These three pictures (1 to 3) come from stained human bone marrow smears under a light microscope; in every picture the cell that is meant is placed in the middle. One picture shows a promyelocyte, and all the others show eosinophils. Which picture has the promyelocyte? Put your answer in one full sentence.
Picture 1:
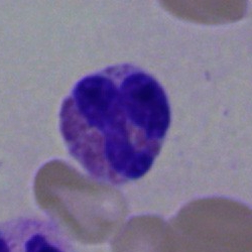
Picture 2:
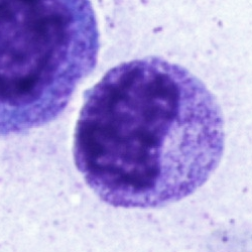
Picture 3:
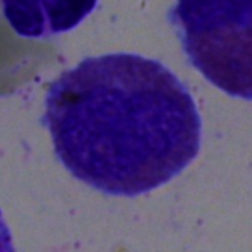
It is picture 2 that shows the promyelocyte.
